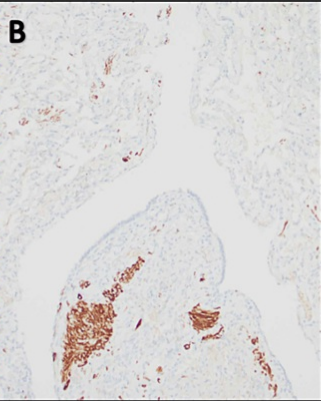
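Within a pale rounded nodule projecting into an air space, compact fascicles of elongated cells are stained deep brown, while the surrounding alveolar septa show only thin strands of brown. The stained fascicles are the spindle cells of the nodule.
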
